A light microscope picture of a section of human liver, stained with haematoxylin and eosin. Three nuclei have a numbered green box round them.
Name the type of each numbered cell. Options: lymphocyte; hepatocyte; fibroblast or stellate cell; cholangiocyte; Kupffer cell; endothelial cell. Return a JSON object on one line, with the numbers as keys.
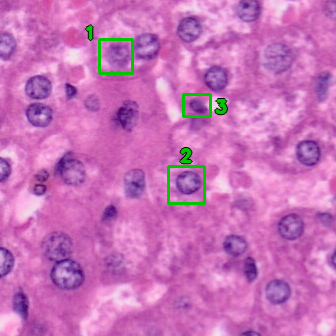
{"1": "hepatocyte", "2": "hepatocyte", "3": "Kupffer cell"}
